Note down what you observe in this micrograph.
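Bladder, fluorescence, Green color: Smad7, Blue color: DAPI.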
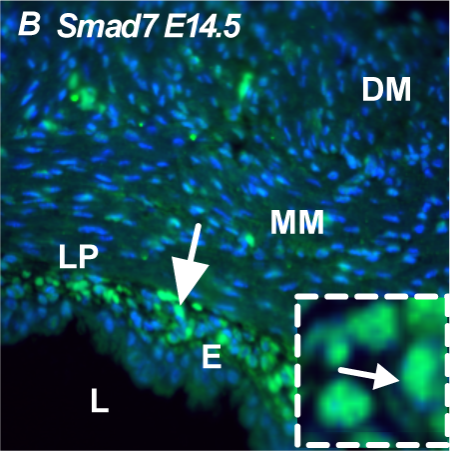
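The lumen is lined by a multilayered epithelium of tightly packed cells with round to oval blue nuclei. Further out, the wall is filled with elongated, spindle-shaped nuclei that run in parallel streams, the mesenchyme of the muscle layers, with only scattered green cells. The enlarged inset shows rounded green bodies that correspond to nuclei.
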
